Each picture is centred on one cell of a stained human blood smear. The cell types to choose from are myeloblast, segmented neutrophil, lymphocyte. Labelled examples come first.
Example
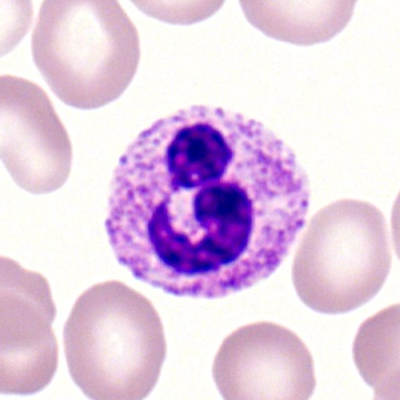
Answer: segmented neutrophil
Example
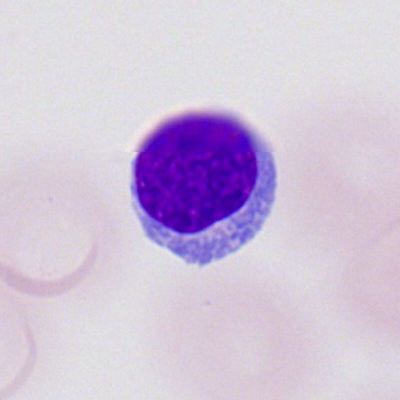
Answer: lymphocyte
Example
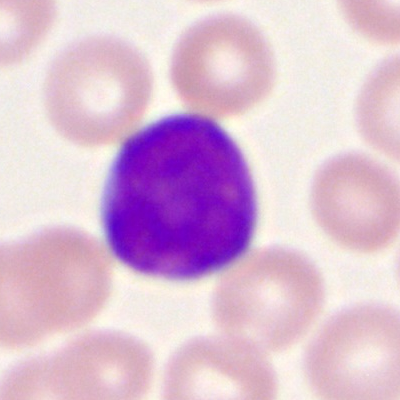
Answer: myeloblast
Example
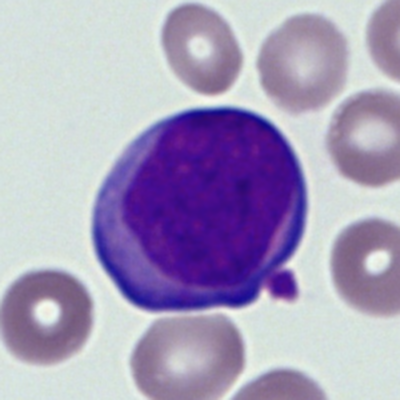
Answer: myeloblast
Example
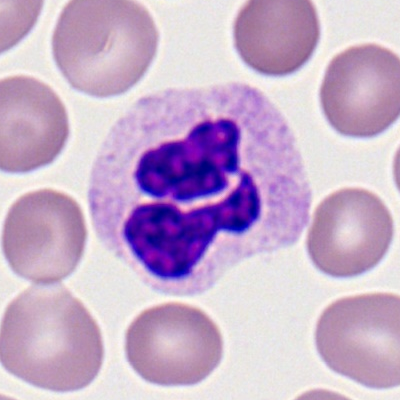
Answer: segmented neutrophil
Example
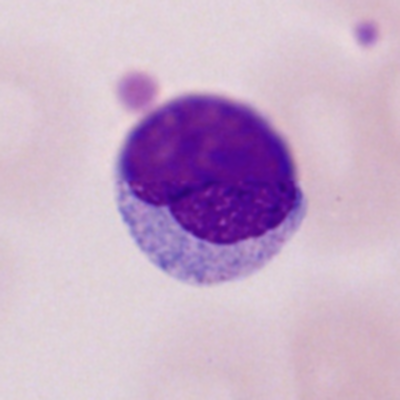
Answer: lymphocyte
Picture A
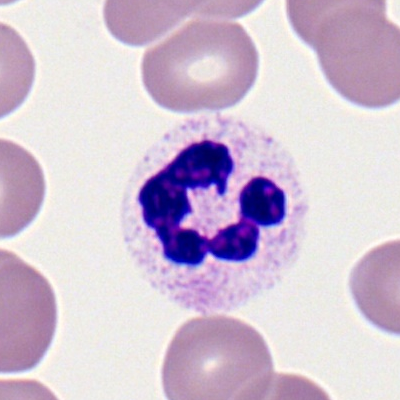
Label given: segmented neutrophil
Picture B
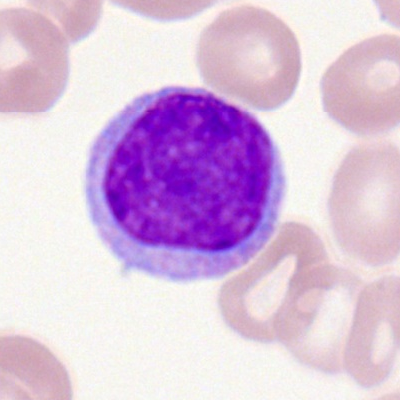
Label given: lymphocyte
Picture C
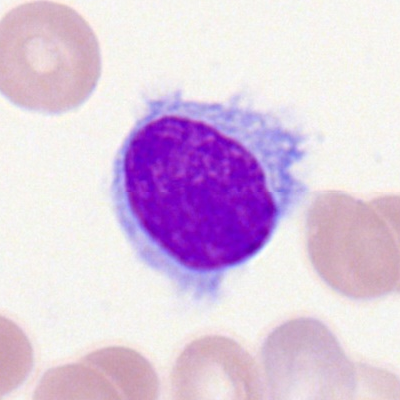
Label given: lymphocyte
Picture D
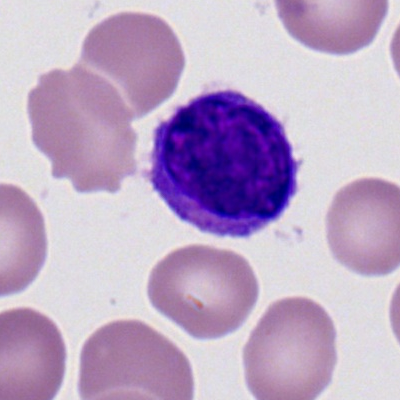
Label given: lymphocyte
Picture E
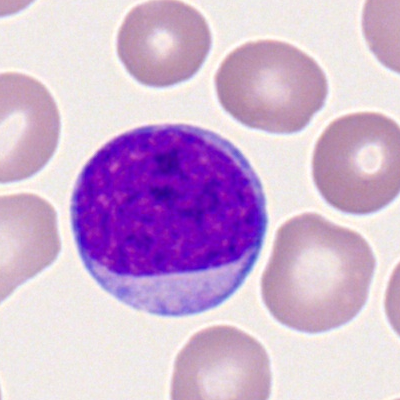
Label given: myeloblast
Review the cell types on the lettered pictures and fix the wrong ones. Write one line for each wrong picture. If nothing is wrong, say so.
No label is wrong.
